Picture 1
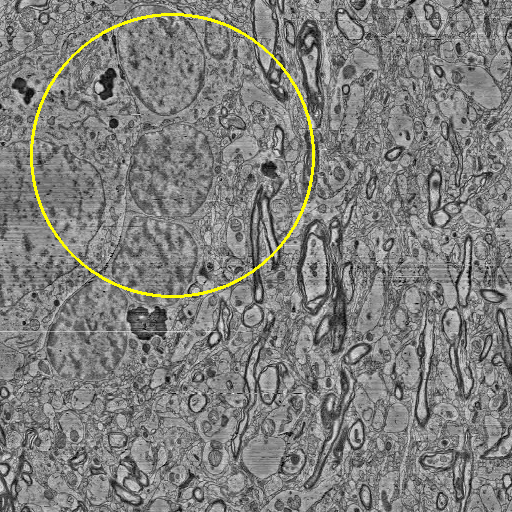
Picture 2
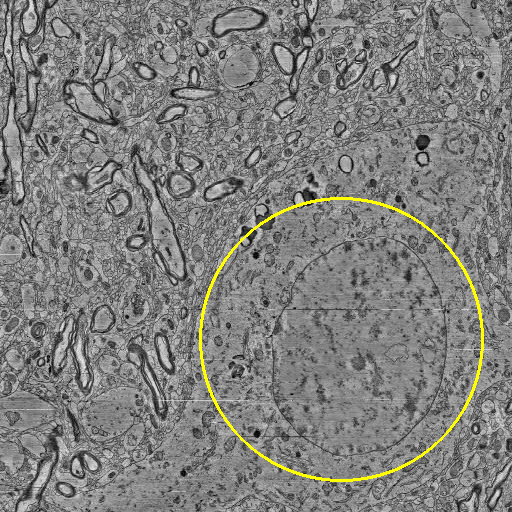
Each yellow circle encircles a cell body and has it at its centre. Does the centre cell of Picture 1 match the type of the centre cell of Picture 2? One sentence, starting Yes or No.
No, the cell centred in Picture 1 and the one in Picture 2 have separate types.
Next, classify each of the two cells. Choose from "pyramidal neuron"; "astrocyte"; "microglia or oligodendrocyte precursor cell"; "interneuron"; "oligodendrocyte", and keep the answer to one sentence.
In the first picture it is an oligodendrocyte; in the second it is a pyramidal neuron.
